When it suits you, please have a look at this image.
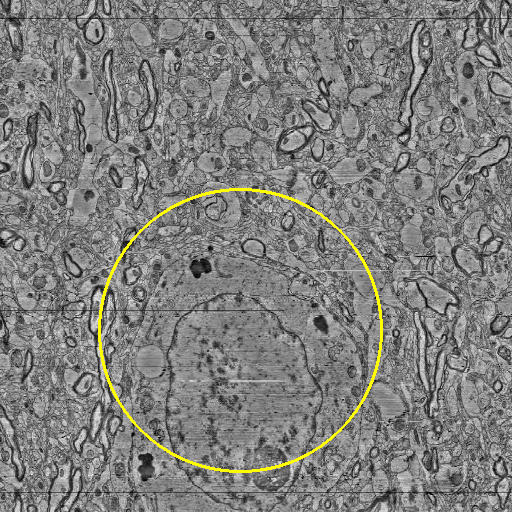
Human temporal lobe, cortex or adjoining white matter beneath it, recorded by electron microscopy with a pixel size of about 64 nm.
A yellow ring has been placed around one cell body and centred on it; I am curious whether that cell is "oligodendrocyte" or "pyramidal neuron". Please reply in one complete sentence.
The ringed cell, a pyramidal neuron, has its body at the centre of the yellow ring.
